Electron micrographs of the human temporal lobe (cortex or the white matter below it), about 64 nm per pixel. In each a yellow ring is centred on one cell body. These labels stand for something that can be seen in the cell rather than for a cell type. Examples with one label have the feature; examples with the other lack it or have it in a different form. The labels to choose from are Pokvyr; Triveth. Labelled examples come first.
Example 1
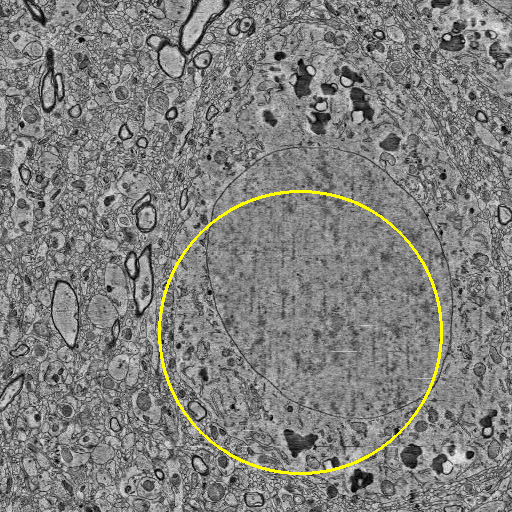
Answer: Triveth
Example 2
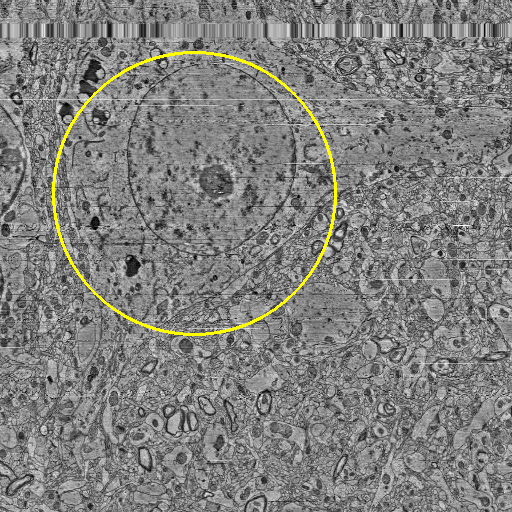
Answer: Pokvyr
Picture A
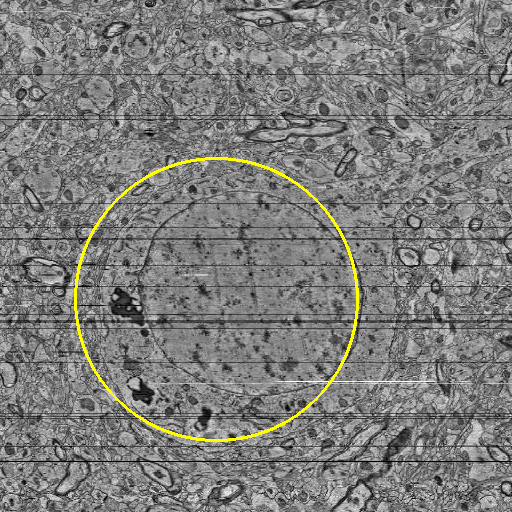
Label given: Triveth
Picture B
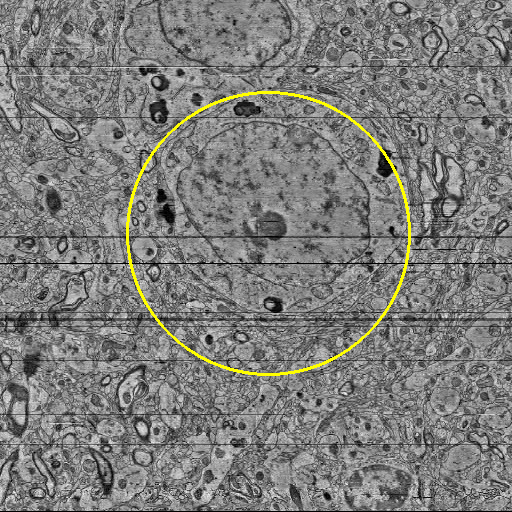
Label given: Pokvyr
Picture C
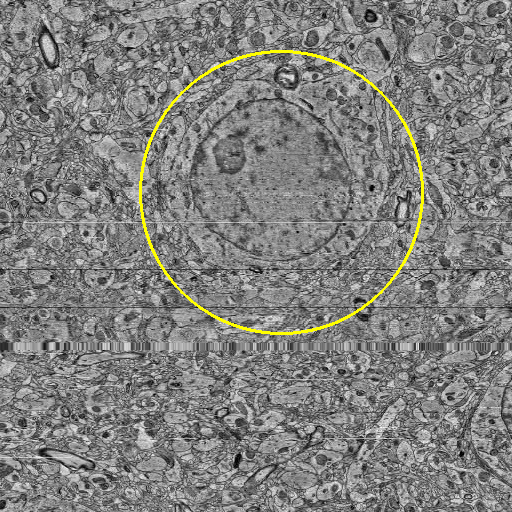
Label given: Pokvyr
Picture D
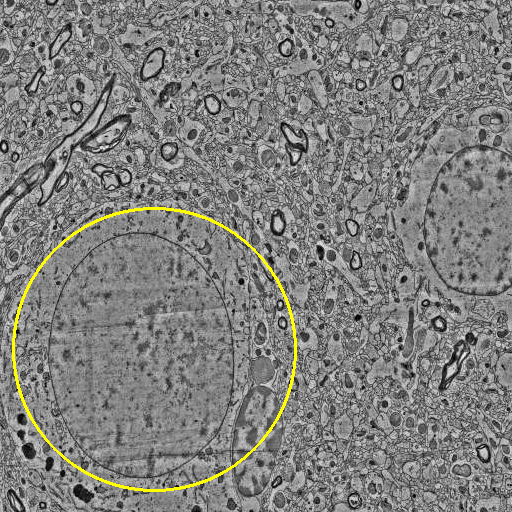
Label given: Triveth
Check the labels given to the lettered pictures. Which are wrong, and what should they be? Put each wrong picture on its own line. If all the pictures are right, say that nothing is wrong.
Nothing to fix; every label fits.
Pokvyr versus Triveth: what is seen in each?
Pokvyr: nucleolus seen; Triveth: no nucleolus seen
